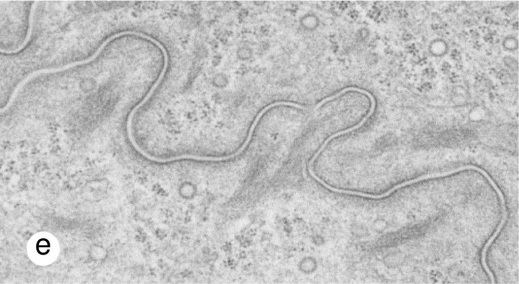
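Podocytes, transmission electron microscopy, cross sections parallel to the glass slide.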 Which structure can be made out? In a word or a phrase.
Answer: intercellular junctions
